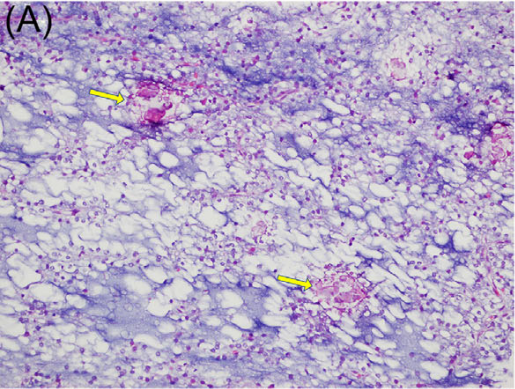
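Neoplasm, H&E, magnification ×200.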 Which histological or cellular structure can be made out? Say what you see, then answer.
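Cells lie in a pale blue-violet wispy background. The background contains many bubbly clear spaces.
Conclusion: mucus rich extracellular matrix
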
